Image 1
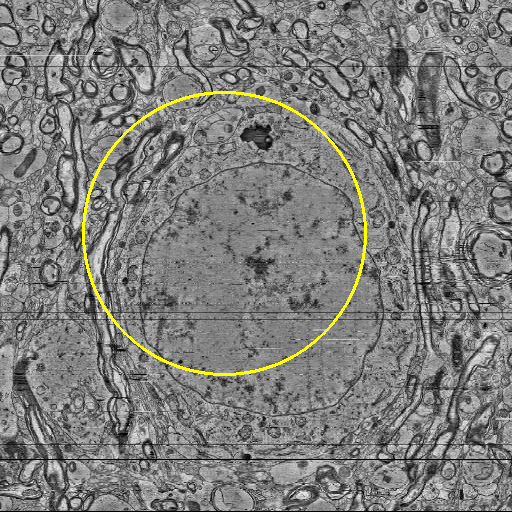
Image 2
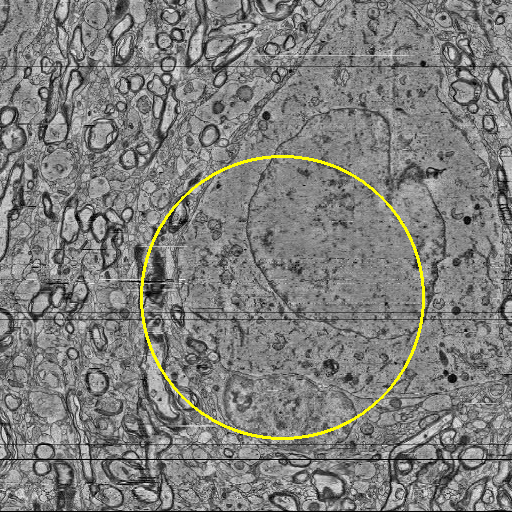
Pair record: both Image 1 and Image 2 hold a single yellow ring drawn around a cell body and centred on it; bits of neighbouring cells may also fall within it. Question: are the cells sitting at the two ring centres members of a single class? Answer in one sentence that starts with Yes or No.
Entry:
Yes, both ring-centre cells in Image 1 and Image 2 are members of one class.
